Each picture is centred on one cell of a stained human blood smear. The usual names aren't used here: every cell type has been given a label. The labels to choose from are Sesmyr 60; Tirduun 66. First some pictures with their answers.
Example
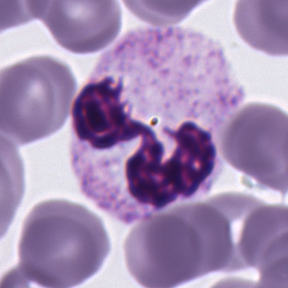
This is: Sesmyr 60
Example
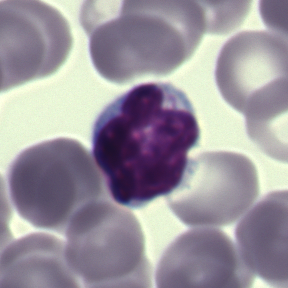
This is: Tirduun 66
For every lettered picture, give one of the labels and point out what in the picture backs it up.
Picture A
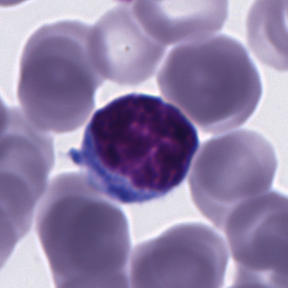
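Tirduun 66. Reason: The cytoplasm is a narrow blue rim, seen mainly as a crescent along the lower left of the nucleus.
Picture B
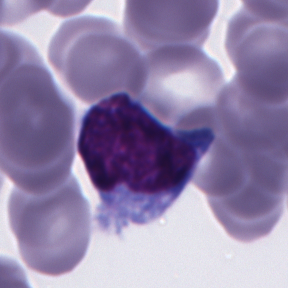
Tirduun 66. Reason: The cytoplasm is blue.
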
